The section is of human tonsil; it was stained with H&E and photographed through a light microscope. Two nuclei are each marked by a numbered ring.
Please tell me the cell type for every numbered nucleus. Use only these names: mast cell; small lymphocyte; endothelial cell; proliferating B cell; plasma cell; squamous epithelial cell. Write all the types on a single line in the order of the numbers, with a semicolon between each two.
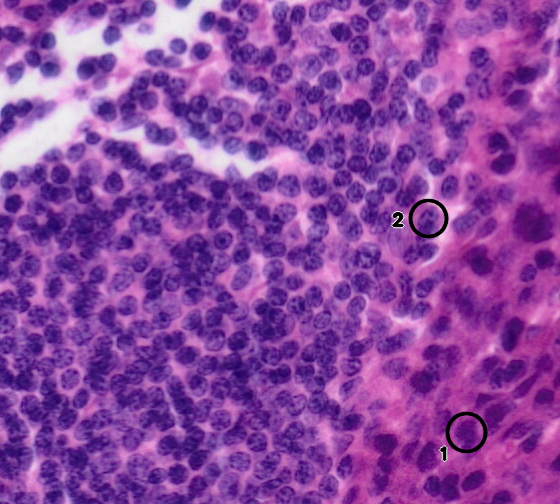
squamous epithelial cell; plasma cell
